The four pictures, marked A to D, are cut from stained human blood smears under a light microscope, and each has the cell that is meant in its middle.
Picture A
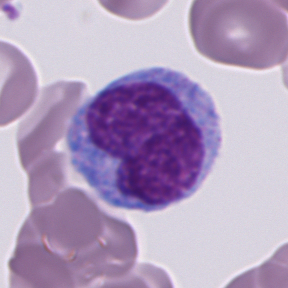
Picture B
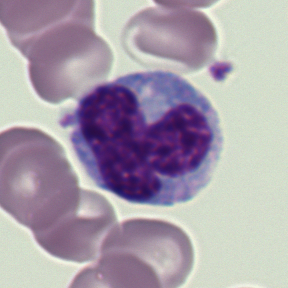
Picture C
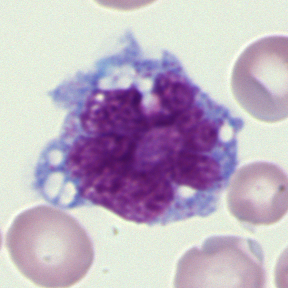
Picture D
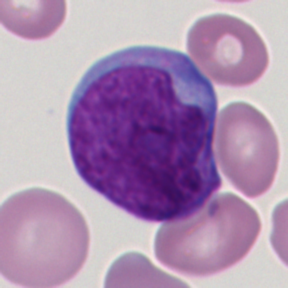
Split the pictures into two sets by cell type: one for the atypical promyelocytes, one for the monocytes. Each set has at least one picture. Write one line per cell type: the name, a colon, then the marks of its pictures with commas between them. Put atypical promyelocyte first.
atypical promyelocyte: D
monocyte: A, B, C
